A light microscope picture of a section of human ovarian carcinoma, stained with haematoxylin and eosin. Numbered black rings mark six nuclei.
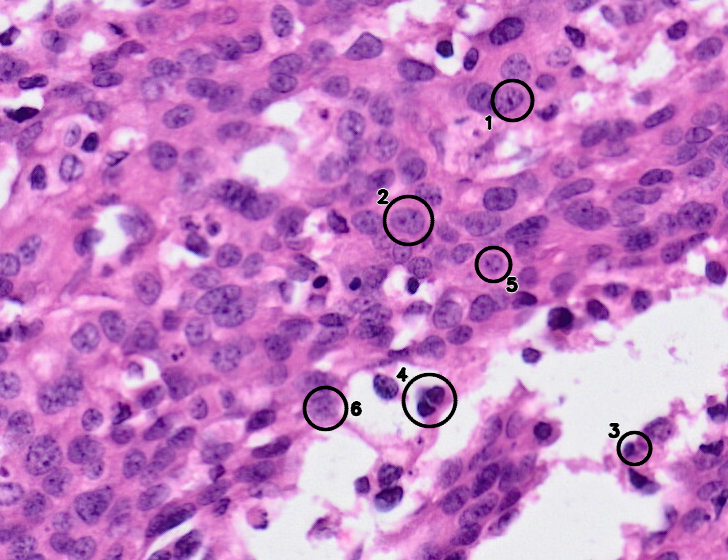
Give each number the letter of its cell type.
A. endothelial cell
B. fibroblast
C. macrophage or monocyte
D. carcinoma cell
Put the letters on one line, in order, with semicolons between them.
D; D; C; D; C; D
